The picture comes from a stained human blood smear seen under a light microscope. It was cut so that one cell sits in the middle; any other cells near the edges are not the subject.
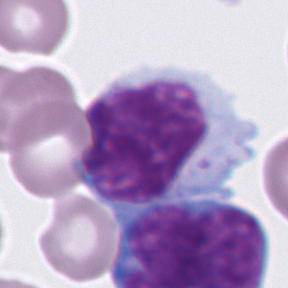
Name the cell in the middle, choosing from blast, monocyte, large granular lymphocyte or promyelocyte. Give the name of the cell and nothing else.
large granular lymphocyte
